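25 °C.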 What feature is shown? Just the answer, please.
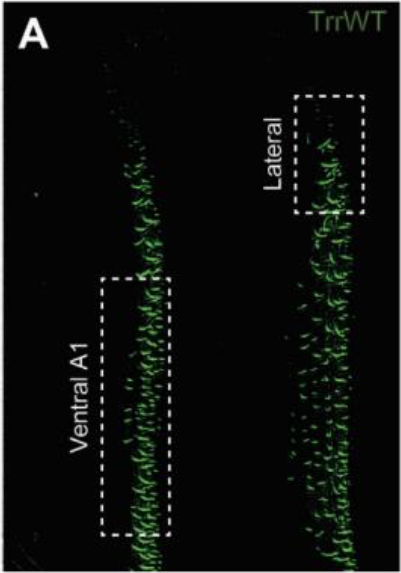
Trichome patterns.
